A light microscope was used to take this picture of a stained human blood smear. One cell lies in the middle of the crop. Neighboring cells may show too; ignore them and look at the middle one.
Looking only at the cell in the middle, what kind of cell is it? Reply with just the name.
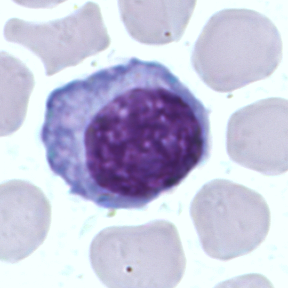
plasma cell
